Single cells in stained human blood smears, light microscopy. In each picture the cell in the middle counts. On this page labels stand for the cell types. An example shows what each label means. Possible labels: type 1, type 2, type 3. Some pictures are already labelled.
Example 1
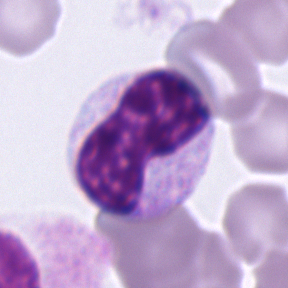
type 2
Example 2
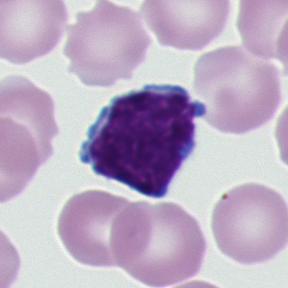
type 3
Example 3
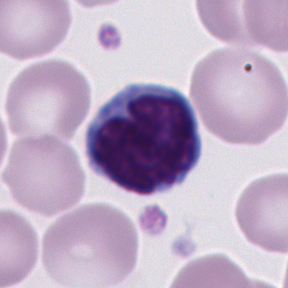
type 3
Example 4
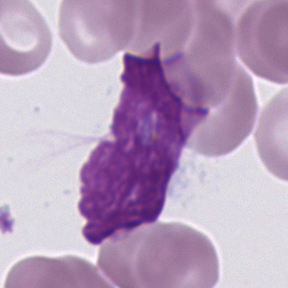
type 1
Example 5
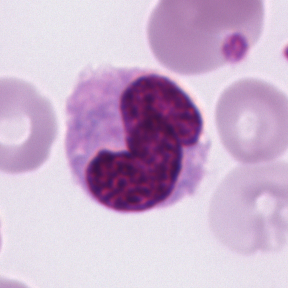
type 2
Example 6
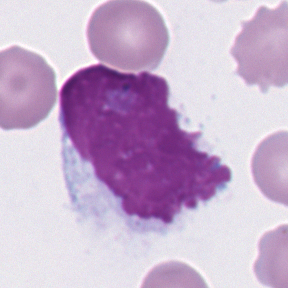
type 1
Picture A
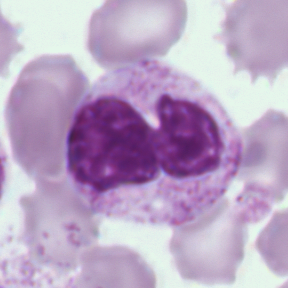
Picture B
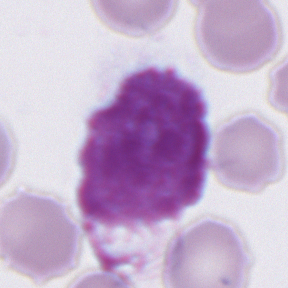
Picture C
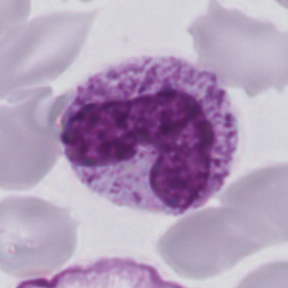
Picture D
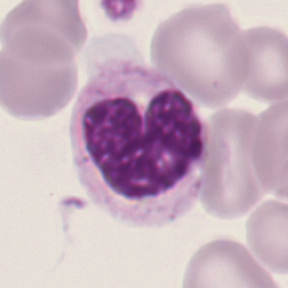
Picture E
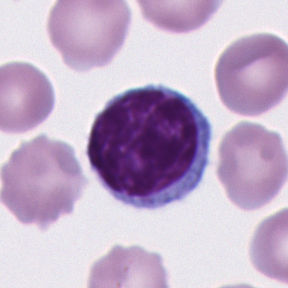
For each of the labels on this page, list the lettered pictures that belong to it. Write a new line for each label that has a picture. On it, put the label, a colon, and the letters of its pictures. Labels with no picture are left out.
type 1: B
type 2: A, C, D
type 3: E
